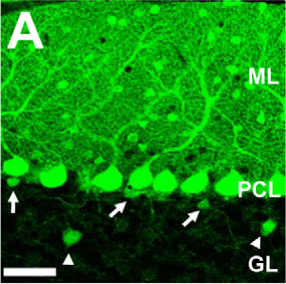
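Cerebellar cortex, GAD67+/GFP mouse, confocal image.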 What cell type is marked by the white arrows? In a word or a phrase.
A: Small inhibitory interneurons.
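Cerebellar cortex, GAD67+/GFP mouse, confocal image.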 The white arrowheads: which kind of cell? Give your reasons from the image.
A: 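Golgi cells. The arrowheads point to bright green round somata lying within the dark lower layer. These somata sit well below the row of large bright cell bodies.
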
